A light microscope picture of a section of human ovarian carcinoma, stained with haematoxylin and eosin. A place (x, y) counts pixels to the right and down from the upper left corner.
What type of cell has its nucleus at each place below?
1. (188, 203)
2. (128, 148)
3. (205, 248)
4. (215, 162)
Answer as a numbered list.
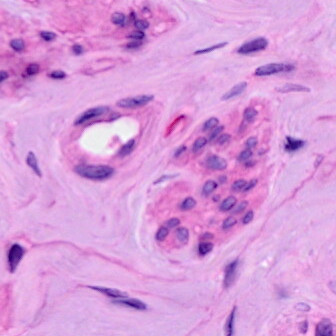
1. smooth muscle cell
2. endothelial cell
3. smooth muscle cell
4. smooth muscle cell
